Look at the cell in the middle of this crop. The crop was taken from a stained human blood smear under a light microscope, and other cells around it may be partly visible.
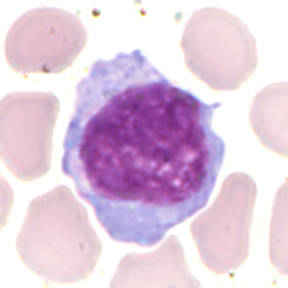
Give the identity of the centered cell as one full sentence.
In the middle of this smear crop, the cell is a plasma cell.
